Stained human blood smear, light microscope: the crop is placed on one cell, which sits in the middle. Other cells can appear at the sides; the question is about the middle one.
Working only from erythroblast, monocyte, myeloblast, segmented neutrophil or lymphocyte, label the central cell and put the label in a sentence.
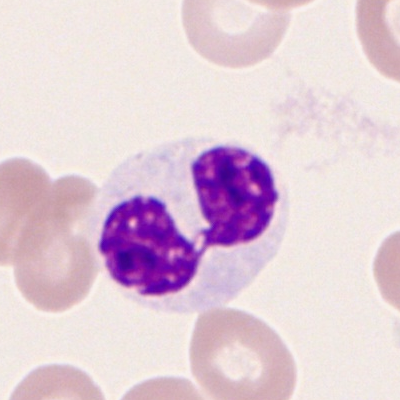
Centrally within this crop lies a segmented neutrophil.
